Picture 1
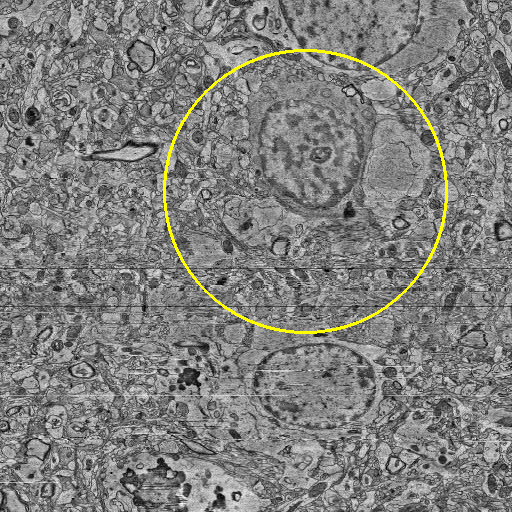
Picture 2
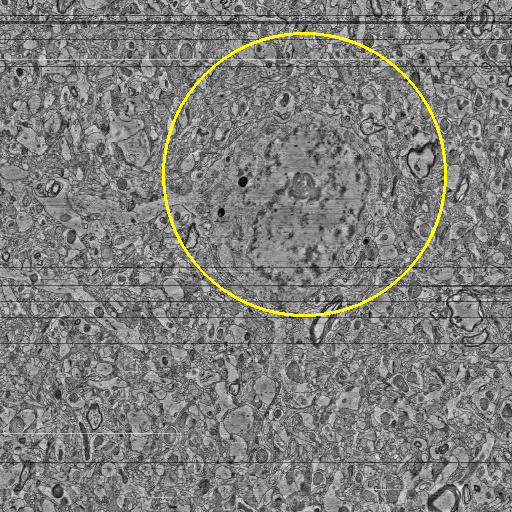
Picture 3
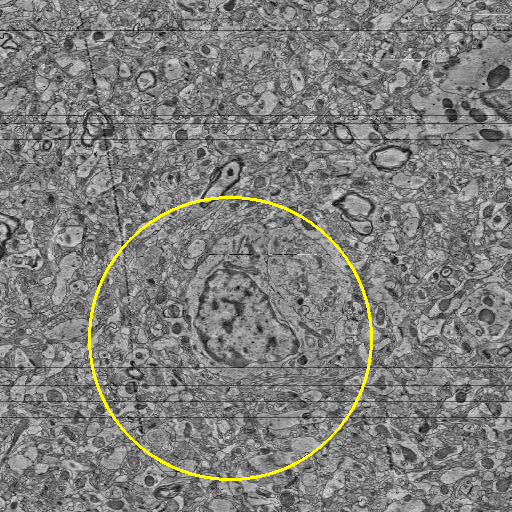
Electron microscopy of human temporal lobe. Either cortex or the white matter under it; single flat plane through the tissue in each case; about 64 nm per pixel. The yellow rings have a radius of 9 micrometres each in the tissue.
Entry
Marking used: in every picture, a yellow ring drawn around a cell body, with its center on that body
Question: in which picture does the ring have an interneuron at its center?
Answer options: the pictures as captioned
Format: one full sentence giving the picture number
Picture 2 is where the ring's center falls on the requested cell.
